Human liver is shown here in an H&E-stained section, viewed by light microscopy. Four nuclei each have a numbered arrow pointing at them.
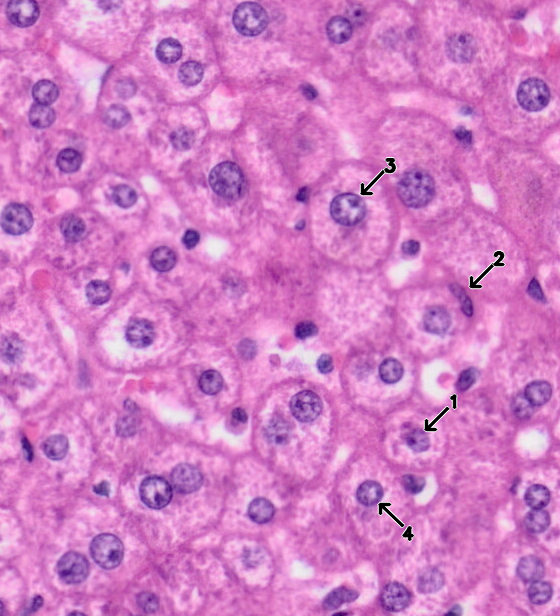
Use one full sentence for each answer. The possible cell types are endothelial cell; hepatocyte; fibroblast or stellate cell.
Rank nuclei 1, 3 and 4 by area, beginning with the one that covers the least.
The order from the smallest nucleus to the largest is 1, 4, 3.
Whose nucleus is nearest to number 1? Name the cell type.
It is an endothelial cell whose nucleus is nearest to number 1.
